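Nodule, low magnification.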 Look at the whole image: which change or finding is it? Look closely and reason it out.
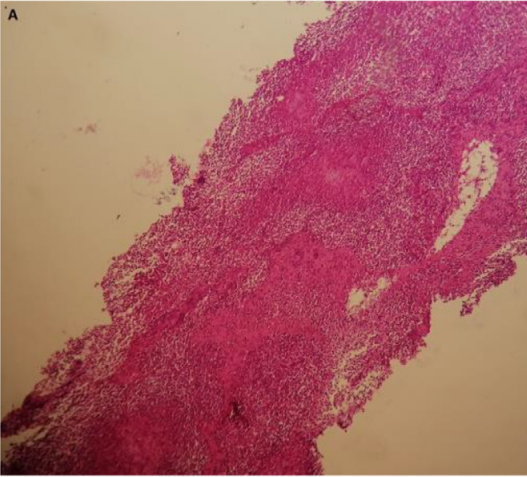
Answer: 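Sheets of small, closely packed, dark-nucleated cells fill the fragment. No glandular or lobular architecture is preserved. That points to this answer: dense diffuse proliferation of lymphoid appearance.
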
